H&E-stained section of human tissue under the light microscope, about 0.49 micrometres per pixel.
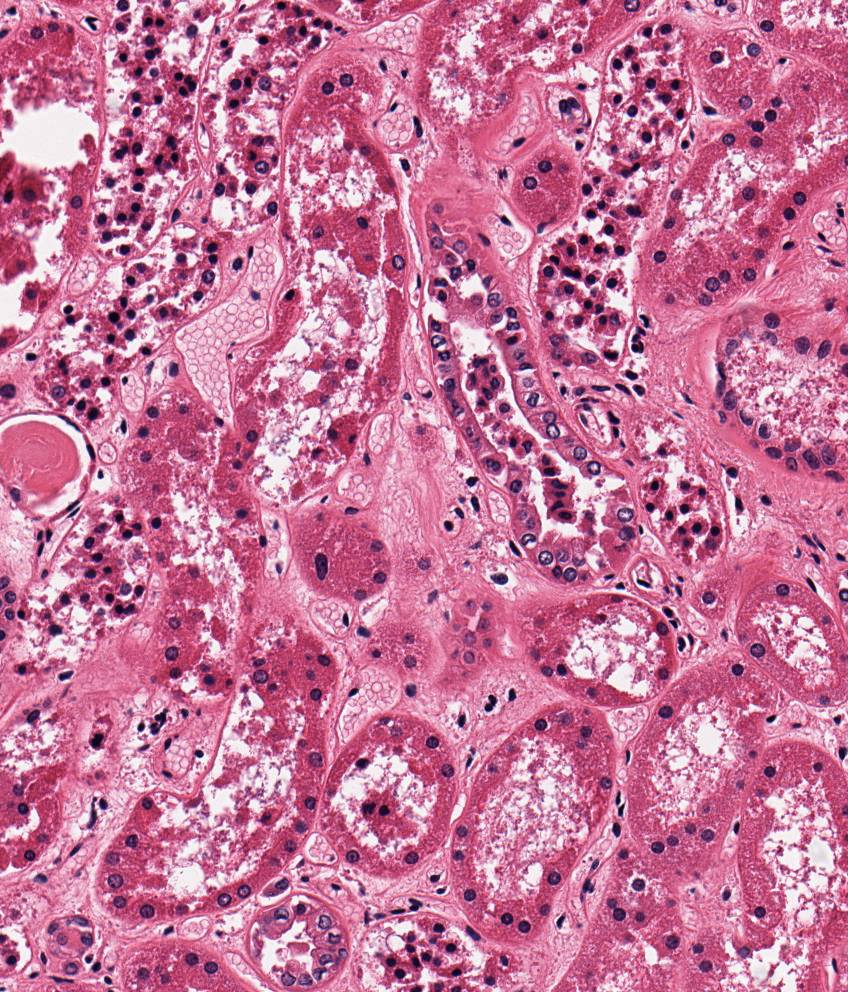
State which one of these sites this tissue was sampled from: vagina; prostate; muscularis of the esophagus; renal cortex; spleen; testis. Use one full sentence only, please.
This section represents tissue sampled from the renal cortex.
